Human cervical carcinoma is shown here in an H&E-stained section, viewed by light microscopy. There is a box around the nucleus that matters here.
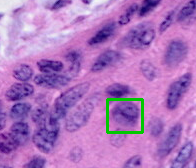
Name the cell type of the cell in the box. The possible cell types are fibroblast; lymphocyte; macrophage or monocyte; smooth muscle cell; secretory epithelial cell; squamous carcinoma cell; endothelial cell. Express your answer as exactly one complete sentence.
As far as its identity is concerned, the cell in the box is a squamous carcinoma cell.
